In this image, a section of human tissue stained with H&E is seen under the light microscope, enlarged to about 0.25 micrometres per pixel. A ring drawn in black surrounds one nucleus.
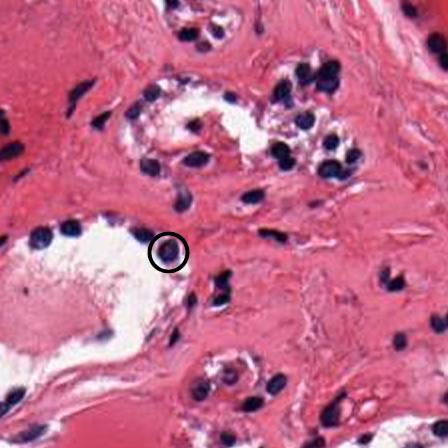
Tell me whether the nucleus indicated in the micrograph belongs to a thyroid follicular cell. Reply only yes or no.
yes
